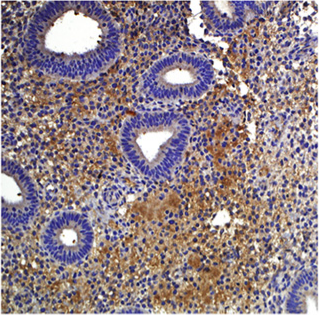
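This is endometrium with several small round glands set in a dense stroma. The glands are lined by tall columnar epithelial cells with crowded, elongated blue nuclei, and this lining is essentially unstained. In contrast, the stromal cells packed between the glands carry abundant brown staining, giving the stroma a dense brown, granular look in which blue nuclei remain visible. The lumens of the glands are empty and clear.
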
